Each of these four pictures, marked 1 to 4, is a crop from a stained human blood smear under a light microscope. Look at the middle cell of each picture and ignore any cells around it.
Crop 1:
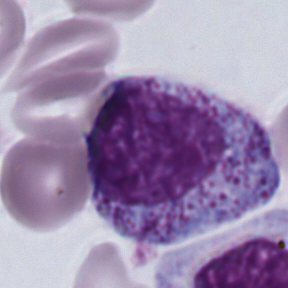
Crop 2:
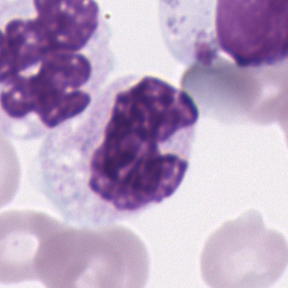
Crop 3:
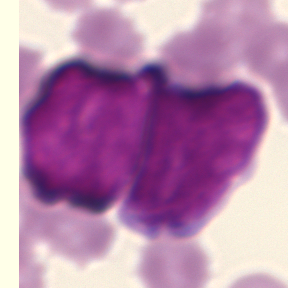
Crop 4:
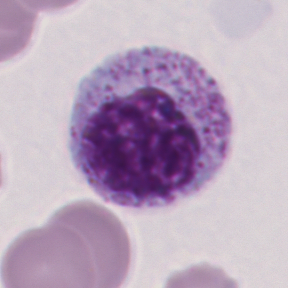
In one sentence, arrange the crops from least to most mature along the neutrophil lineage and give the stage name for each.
So the order, from least to most mature, is crop 3 (a myeloblast), crop 1 (a promyelocyte), crop 4 (a myelocyte) and crop 2 (a segmented neutrophil).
